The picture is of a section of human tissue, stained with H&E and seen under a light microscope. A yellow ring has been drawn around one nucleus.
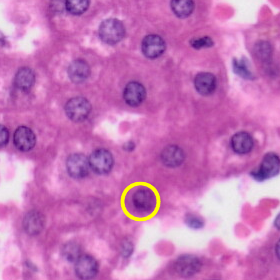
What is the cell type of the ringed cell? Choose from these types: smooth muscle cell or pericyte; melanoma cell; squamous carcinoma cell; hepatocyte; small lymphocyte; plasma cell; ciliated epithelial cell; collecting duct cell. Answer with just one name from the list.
hepatocyte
